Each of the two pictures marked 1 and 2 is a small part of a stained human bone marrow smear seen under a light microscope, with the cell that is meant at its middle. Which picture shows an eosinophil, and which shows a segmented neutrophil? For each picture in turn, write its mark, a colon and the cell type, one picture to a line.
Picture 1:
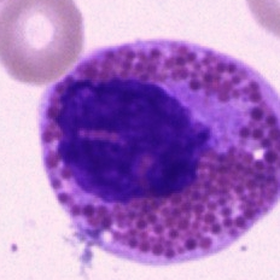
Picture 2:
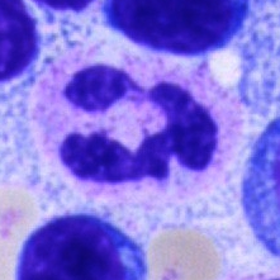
1: eosinophil
2: segmented neutrophil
